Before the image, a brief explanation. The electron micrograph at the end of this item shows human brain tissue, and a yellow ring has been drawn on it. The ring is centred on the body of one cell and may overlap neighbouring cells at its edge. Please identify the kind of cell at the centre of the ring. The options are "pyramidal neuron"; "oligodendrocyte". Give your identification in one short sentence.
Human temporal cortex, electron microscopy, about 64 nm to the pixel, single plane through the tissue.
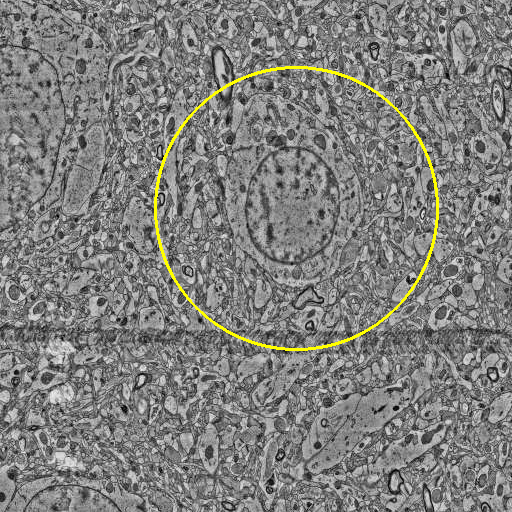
The ring has been placed around a pyramidal neuron.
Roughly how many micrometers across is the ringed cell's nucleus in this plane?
The nucleus comes to roughly 8 by 6 micrometres in this plane.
